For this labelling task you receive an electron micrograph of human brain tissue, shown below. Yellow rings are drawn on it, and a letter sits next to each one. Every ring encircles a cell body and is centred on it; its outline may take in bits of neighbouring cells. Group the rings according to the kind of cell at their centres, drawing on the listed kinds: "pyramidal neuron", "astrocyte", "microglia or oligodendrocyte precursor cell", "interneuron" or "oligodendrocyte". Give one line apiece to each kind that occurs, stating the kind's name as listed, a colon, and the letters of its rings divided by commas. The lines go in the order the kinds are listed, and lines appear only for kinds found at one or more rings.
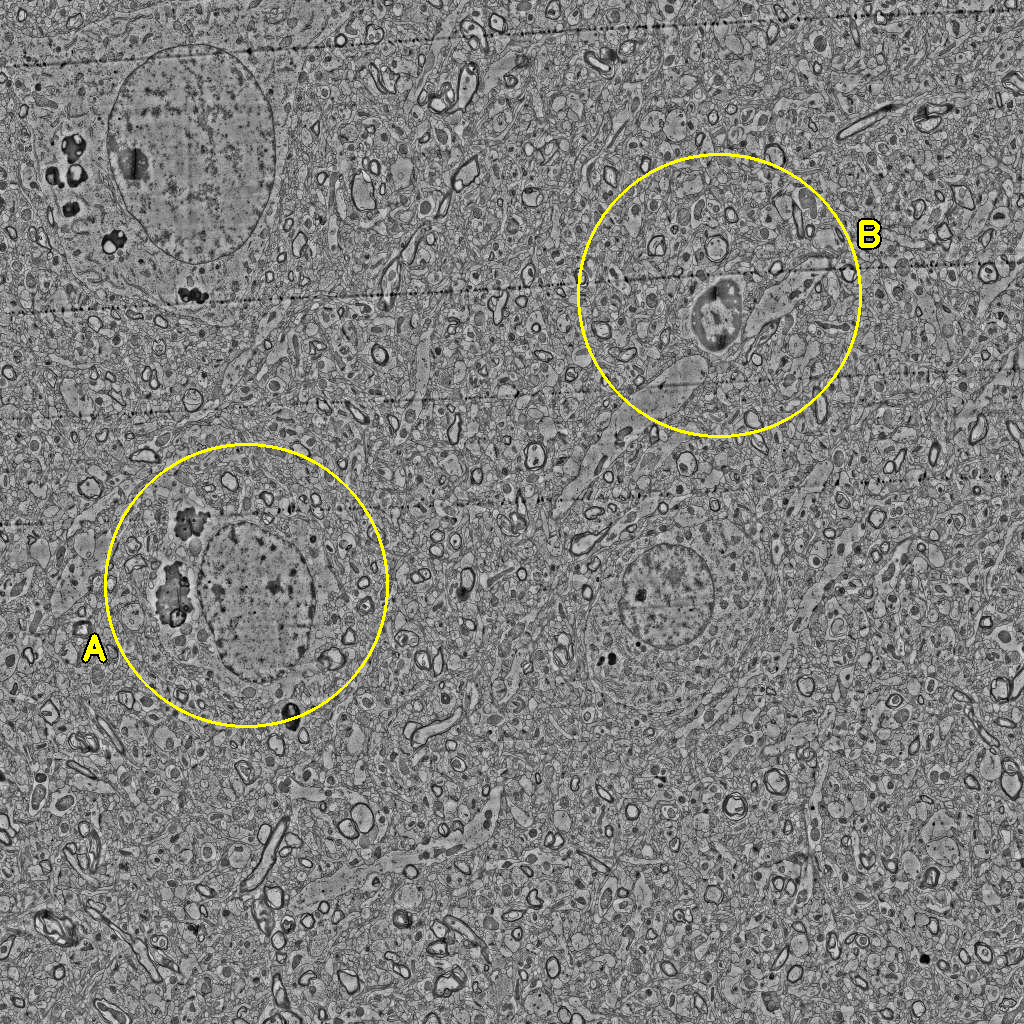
astrocyte: A
microglia or oligodendrocyte precursor cell: B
